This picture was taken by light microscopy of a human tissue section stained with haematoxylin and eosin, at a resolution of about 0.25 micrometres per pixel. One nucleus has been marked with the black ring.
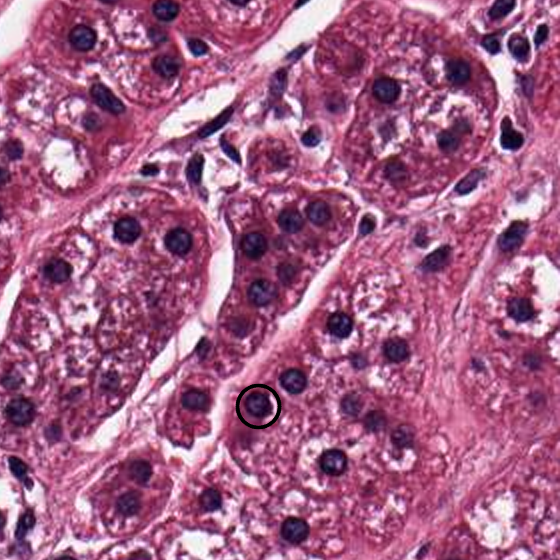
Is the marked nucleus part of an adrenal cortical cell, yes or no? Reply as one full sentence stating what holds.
Yes, the marked nucleus lies within an adrenal cortical cell.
